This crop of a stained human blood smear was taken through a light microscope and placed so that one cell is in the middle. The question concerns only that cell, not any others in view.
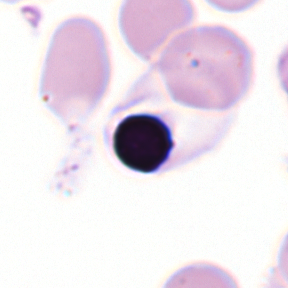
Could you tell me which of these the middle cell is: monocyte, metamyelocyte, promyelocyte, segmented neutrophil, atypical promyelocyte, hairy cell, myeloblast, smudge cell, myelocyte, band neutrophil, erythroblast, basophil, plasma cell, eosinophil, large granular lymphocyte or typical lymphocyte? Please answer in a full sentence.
The cell featured at the centre of this crop is an erythroblast.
